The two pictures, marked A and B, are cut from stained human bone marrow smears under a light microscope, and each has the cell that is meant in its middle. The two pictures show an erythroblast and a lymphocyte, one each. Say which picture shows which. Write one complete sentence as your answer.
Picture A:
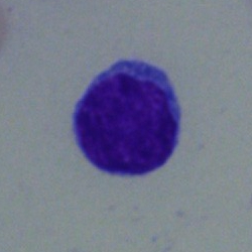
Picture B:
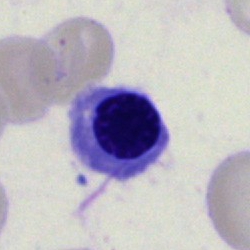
In picture A the cell is a lymphocyte; in picture B, an erythroblast.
